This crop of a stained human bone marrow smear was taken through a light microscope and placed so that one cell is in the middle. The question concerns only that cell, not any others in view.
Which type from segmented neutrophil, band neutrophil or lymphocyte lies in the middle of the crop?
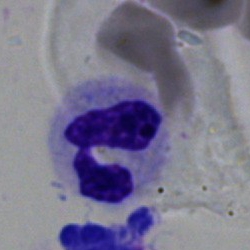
segmented neutrophil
